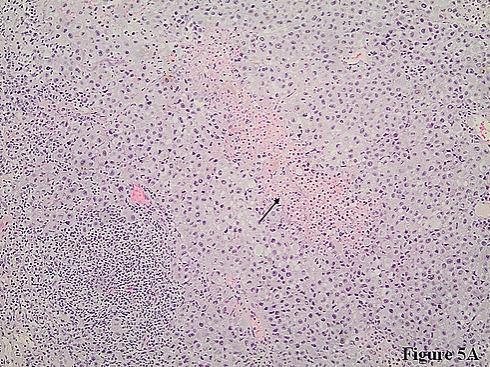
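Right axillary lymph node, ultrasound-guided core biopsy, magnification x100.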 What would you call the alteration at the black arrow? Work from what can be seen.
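Tumor necrosis. The arrow points into a pinker, paler zone where cell outlines fade. Cells around this zone keep distinct nuclei.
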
